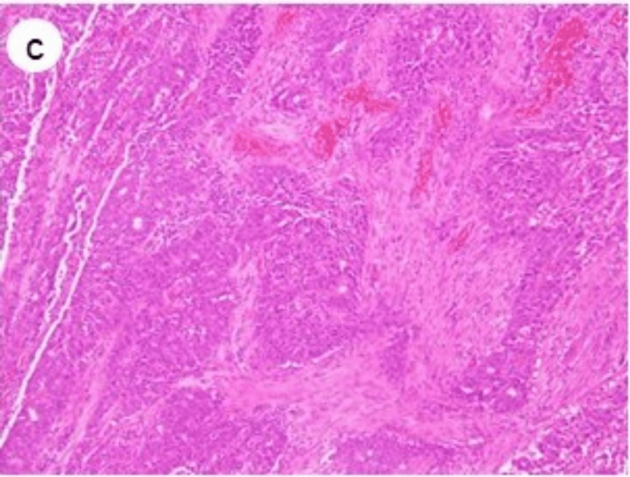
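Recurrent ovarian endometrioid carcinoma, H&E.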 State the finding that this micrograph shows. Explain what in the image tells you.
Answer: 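Pale pink fibrous bands divide the sheets. Red blood cells lie in vessels within the bands. That points to this answer: Solid components.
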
